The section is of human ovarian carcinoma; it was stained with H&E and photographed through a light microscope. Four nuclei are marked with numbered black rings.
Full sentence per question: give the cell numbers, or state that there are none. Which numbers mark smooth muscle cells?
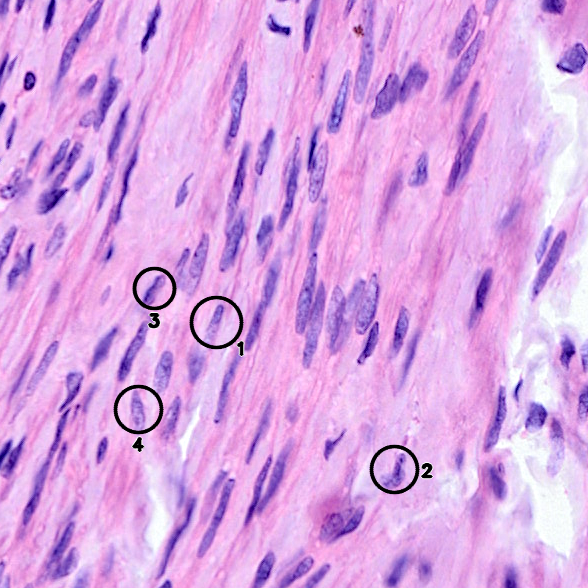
Within the section, cells numbered 1, 3 and 4 are smooth muscle cells.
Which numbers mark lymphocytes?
The numbered cells, every one of them, are not lymphocytes.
